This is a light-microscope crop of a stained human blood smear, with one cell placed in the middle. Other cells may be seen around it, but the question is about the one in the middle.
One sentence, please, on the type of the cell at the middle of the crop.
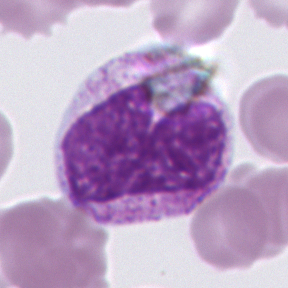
At the center of the crop sits a band neutrophil.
